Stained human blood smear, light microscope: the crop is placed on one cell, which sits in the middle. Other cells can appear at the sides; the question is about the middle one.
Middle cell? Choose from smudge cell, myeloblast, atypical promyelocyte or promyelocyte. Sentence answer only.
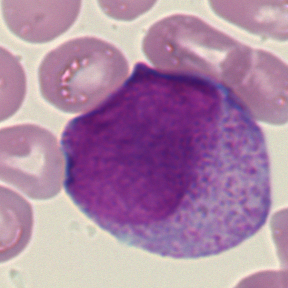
The centered cell in this crop is a promyelocyte.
